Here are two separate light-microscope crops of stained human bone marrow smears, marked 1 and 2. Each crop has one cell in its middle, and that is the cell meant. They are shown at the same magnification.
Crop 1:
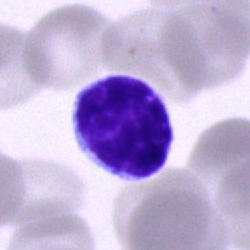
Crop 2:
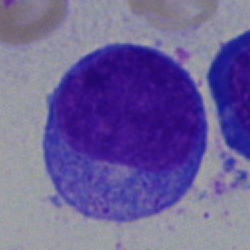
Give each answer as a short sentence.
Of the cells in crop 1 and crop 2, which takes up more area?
It is the cell in crop 2, about 2.5 times as large in area as the cell in crop 1.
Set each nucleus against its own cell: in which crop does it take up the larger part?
In crop 1 the nucleus takes up the larger part of its cell.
